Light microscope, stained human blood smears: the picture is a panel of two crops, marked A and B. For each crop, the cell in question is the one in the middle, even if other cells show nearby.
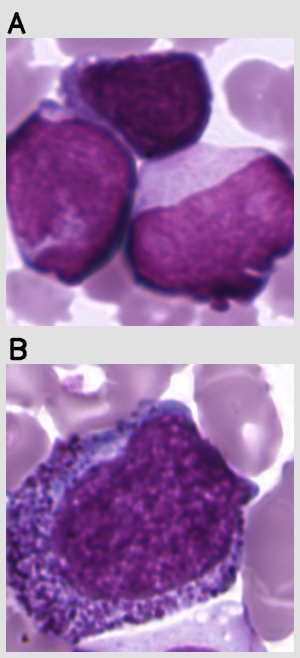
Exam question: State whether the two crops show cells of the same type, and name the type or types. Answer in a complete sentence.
No, mark crop A as a myeloblast and crop B as a promyelocyte.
